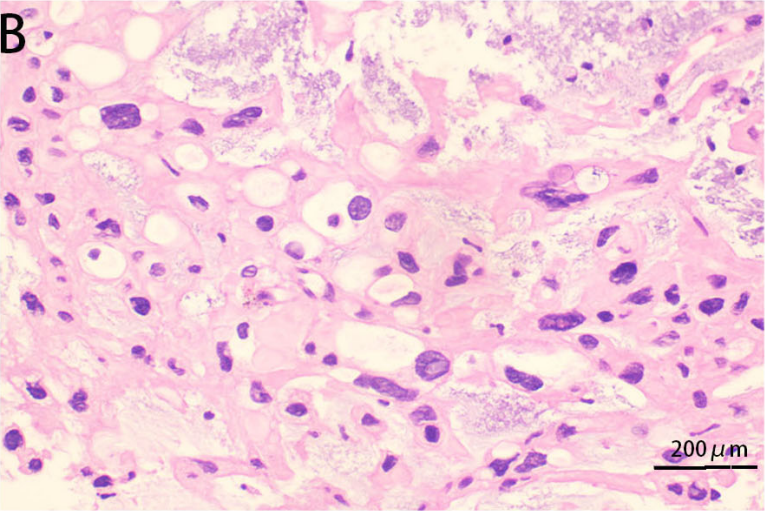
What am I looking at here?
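Epithelioid cells lie scattered and in small groups in a pink, fibrillary to glassy matrix. Many cells have pale pink cytoplasm, and numerous clear round vacuoles of varying size lie among and within the cells, some nuclei sitting at the edge of or inside such vacuoles. The nuclei are mostly enlarged, round to oval or irregular, and stain deep purple, with clear variation in size between neighbouring cells. Patches of pale grey-violet granular material lie within clear spaces in the upper part of the field.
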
